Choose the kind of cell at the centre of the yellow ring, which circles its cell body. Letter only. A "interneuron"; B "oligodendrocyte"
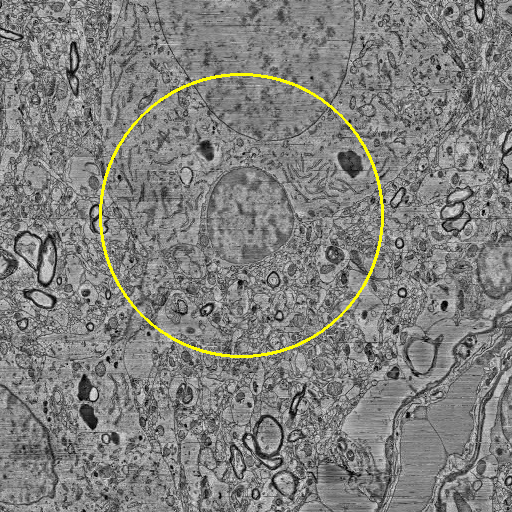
B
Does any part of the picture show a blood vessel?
Yes, a blood vessel is present in this picture.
